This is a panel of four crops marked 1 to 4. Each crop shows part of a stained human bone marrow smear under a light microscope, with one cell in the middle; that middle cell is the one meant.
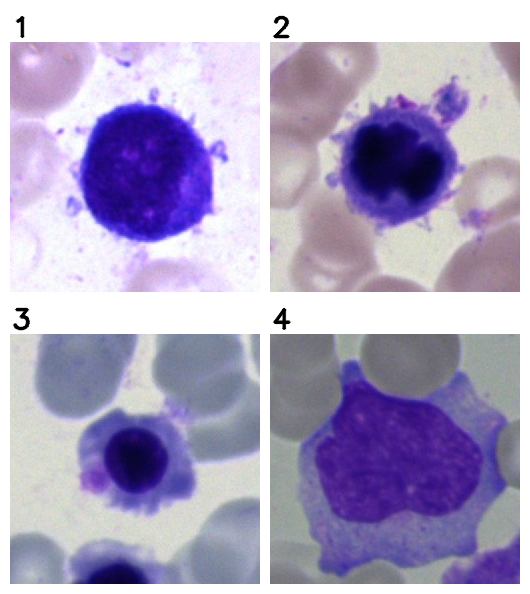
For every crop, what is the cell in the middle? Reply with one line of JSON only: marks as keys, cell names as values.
{"1": "blast", "2": "erythroblast", "3": "erythroblast", "4": "monocyte"}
